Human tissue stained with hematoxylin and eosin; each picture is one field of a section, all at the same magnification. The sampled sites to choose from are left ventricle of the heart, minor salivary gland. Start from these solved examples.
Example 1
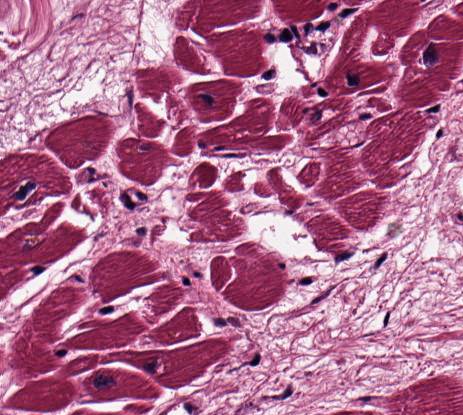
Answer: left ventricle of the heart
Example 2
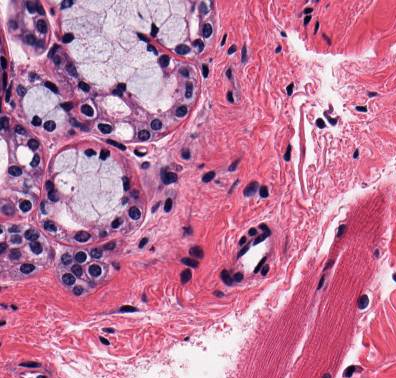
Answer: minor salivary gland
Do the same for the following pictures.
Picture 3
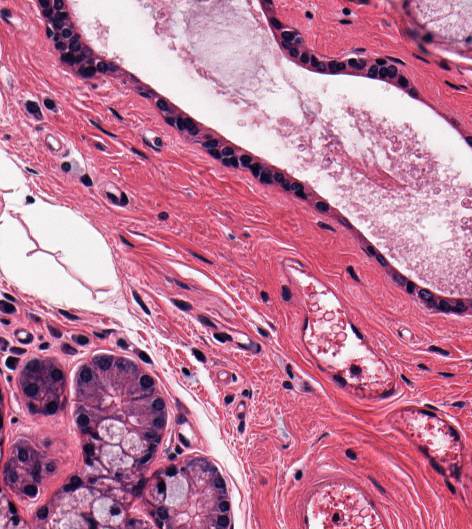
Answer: minor salivary gland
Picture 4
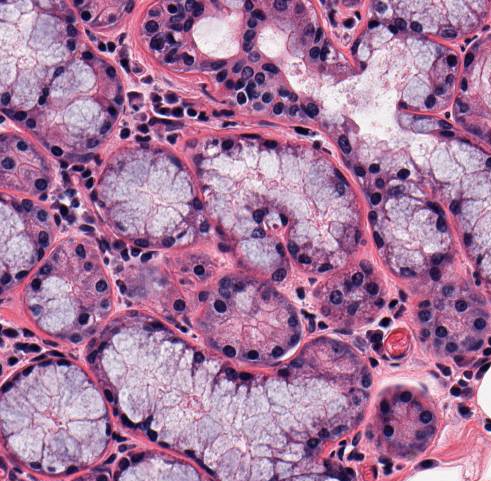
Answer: minor salivary gland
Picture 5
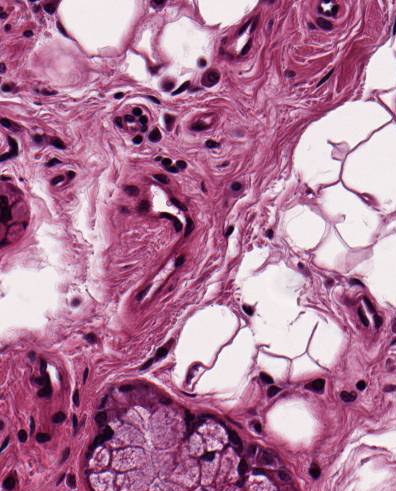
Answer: minor salivary gland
